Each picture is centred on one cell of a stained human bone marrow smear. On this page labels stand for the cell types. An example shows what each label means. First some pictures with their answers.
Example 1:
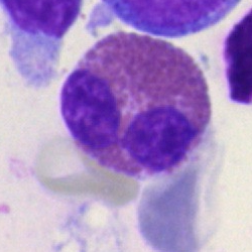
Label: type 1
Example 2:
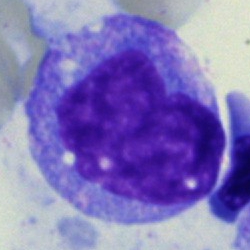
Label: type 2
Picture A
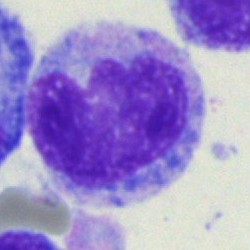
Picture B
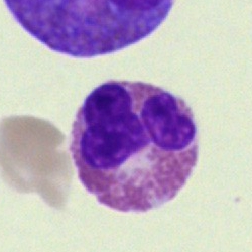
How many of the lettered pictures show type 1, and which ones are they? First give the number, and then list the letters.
1, namely B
